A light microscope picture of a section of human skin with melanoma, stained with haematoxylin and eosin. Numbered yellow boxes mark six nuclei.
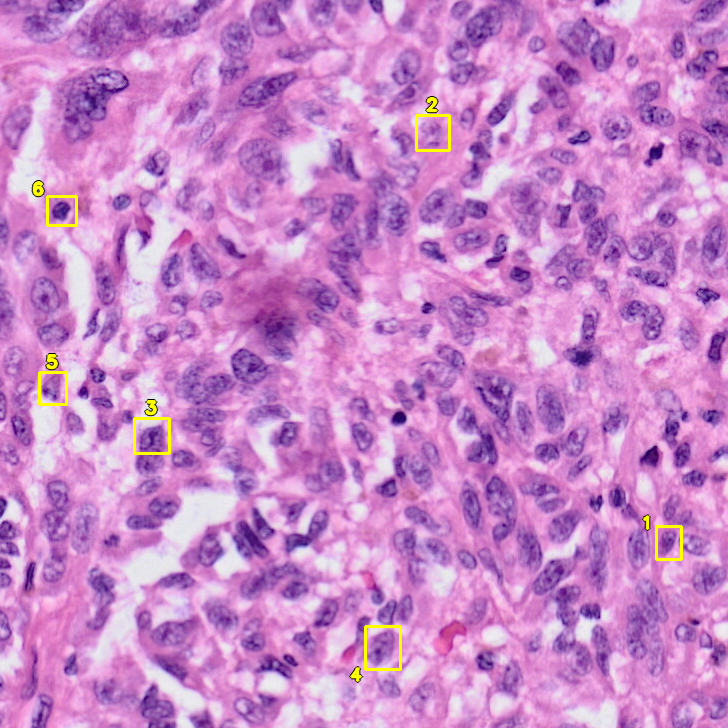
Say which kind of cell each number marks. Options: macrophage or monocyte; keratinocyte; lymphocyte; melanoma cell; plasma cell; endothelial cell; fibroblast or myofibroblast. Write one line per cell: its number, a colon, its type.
1: melanoma cell
2: melanoma cell
3: melanoma cell
4: melanoma cell
5: macrophage or monocyte
6: lymphocyte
